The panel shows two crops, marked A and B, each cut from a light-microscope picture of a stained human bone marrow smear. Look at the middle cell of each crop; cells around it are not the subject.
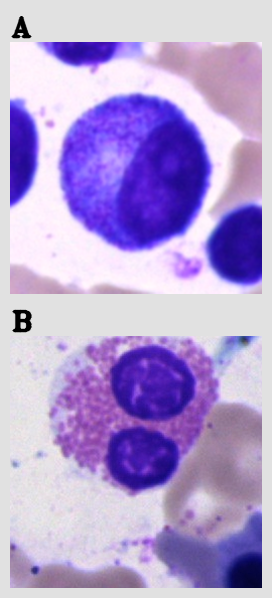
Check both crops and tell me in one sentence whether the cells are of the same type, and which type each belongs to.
No, in crop B the central cell is an eosinophil, and in crop A it is a promyelocyte.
